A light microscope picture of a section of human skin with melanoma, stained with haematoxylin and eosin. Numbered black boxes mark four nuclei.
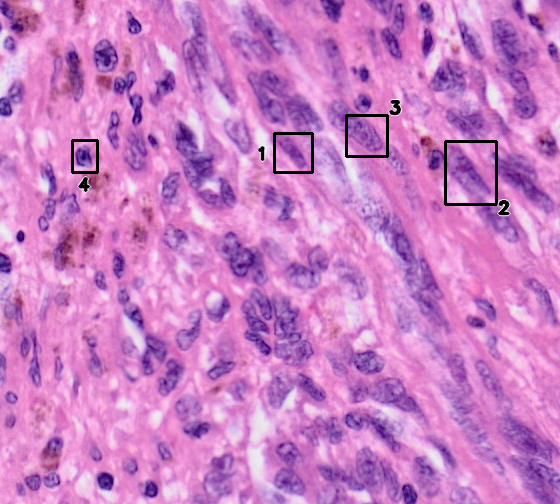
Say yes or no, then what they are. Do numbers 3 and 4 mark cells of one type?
No, cell 3 is a melanoma cell and cell 4 is a lymphocyte.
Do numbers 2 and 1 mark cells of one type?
Yes, both are melanoma cells.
